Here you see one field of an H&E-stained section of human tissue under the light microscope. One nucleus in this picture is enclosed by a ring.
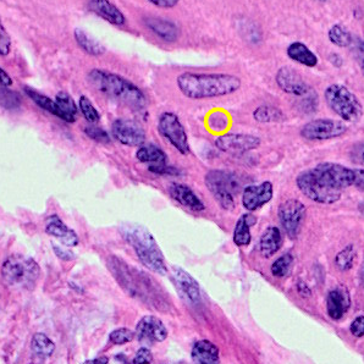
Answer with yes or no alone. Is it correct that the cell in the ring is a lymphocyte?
no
